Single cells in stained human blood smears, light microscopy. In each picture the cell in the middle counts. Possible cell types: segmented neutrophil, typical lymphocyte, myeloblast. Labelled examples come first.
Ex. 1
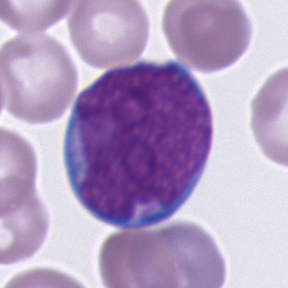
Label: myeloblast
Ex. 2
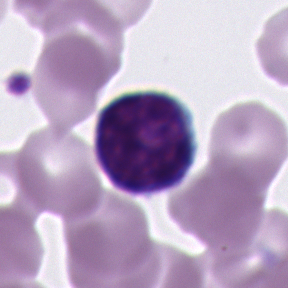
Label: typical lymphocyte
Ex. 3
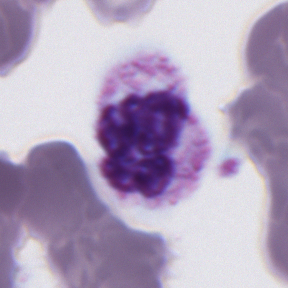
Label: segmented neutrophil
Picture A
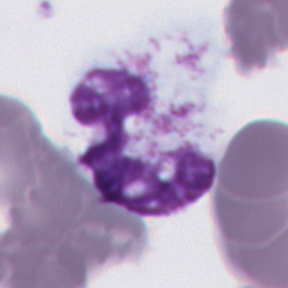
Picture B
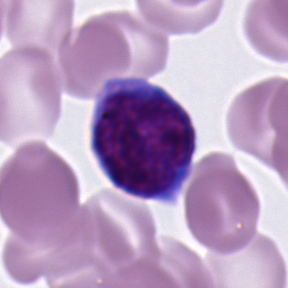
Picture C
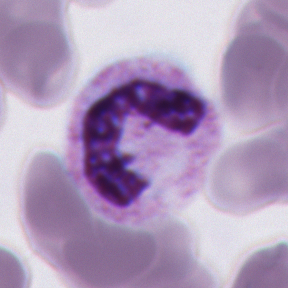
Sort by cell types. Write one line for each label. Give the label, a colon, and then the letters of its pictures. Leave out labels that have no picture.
segmented neutrophil: A, C
typical lymphocyte: B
